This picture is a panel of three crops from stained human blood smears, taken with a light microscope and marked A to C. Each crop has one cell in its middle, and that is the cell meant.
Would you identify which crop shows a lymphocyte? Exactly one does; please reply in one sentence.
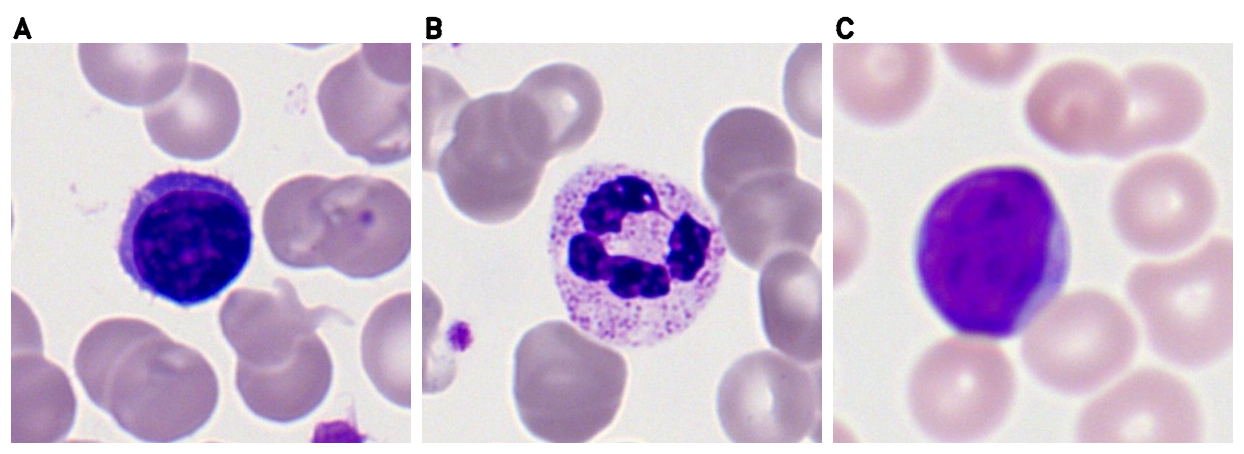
Crop A is the crop in which a lymphocyte is shown.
